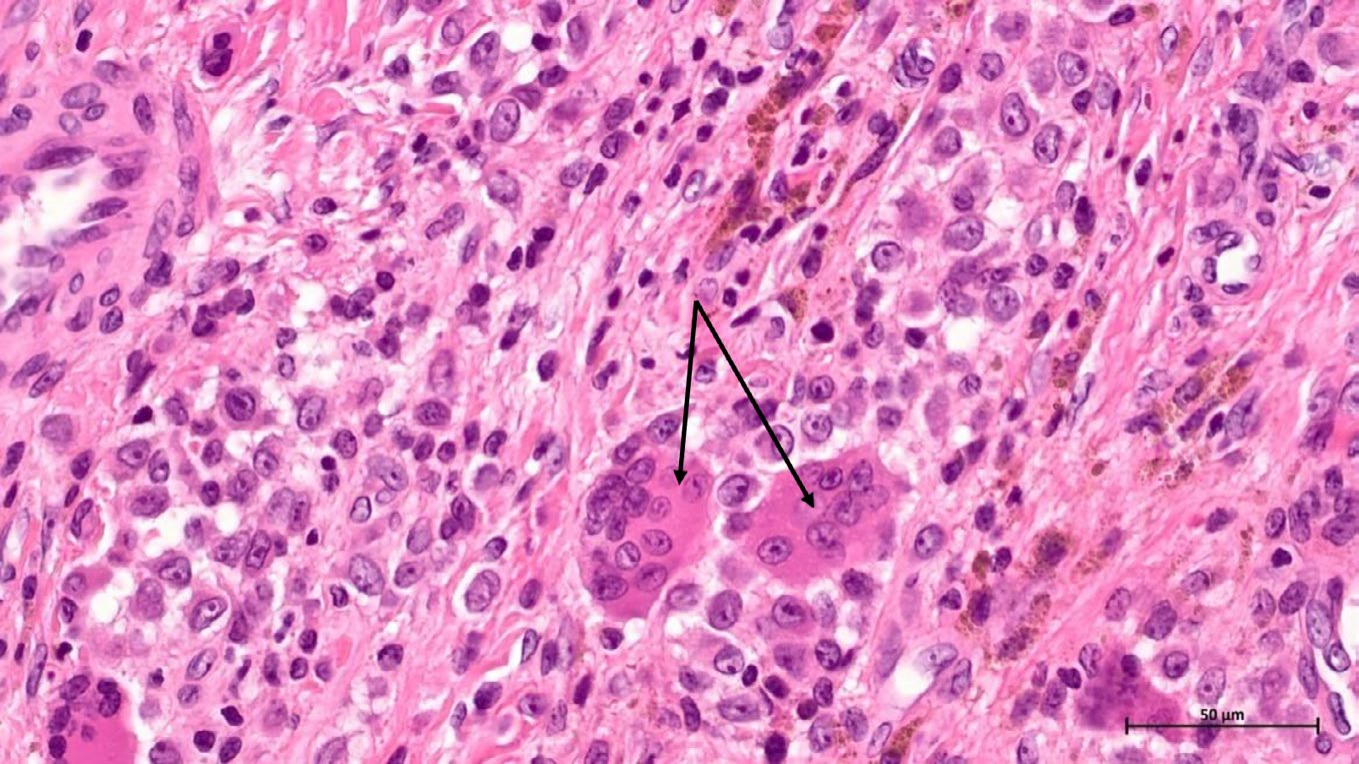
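This field shows multinucleated giant cells lying among many mononuclear cells. Near the centre, two large cells each hold a cluster of many oval nuclei within a broad pool of pink cytoplasm. Around them, the mononuclear cells are crowded in sheets. Most of these cells have round to oval, pale nuclei, and some nuclei show small nucleoli. Smaller, darker round nuclei are scattered among them. The cells sit in a pink, fibrous stroma, and streaks of golden-brown granular pigment run through it, especially toward the right.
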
